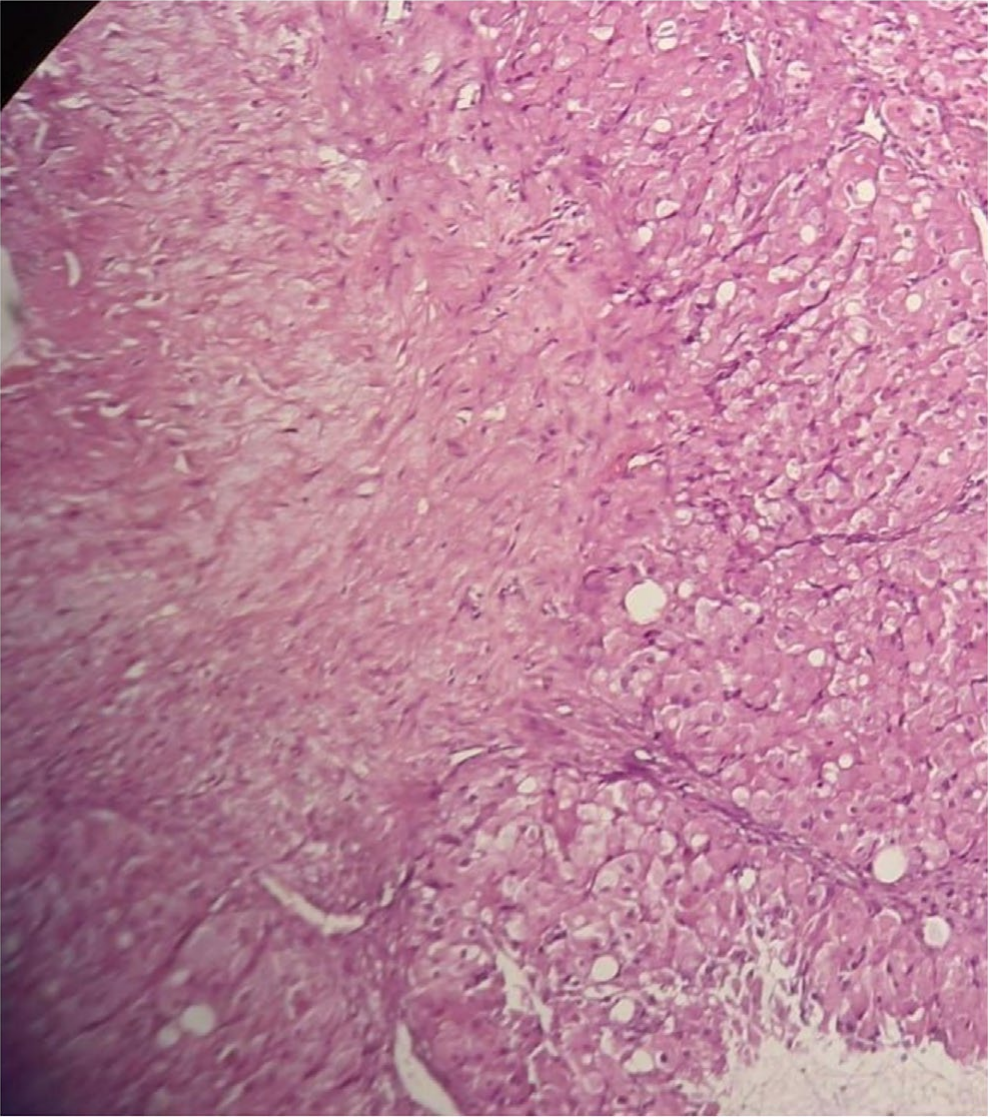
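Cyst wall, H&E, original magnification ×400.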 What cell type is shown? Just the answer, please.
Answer: Luteal cells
